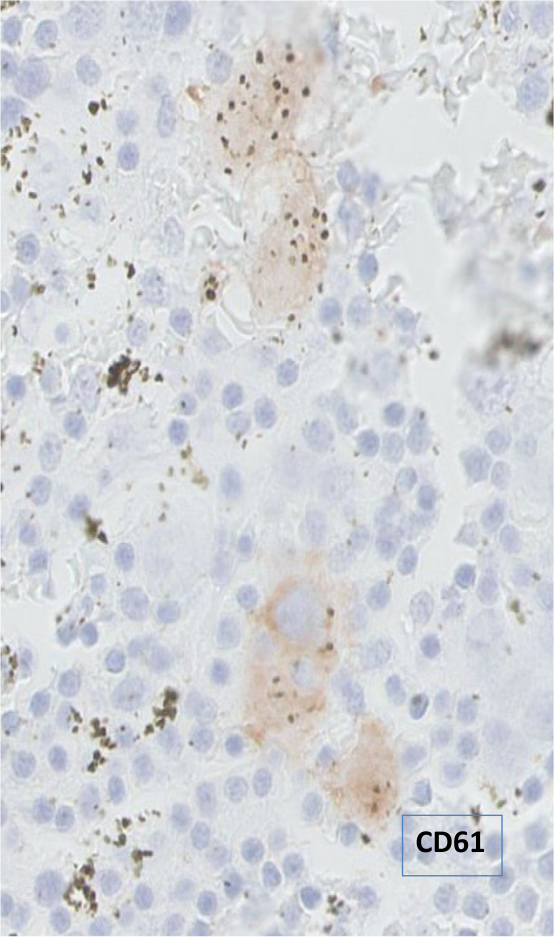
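Hematopoietic tissue with a few megakaryocytes standing out as very large cells with light brown cytoplasmic staining. These giant cells are many times the size of the surrounding small round cells, whose blue nuclei remain unstained. Dark brown-black granular pigment lies scattered across the field, including over the large cells.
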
